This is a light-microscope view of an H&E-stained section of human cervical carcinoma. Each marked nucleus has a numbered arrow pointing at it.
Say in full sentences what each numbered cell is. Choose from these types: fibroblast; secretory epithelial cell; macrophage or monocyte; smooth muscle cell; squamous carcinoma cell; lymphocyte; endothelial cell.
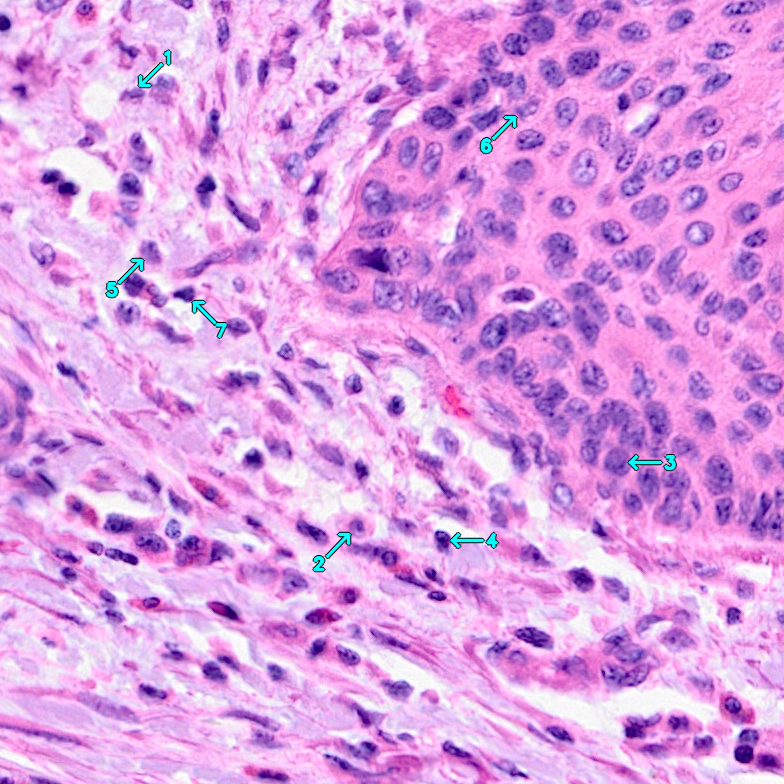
Cell 1 is a fibroblast. Cells 2 and 5 are macrophages or monocytes. Cells 3 and 6 are squamous carcinoma cells. Cells 4 and 7 are lymphocytes.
